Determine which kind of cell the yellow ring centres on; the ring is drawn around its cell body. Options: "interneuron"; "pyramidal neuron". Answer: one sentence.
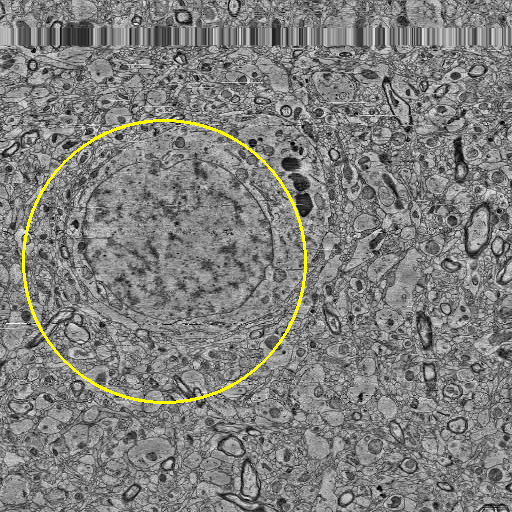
The ring centres on a pyramidal neuron.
